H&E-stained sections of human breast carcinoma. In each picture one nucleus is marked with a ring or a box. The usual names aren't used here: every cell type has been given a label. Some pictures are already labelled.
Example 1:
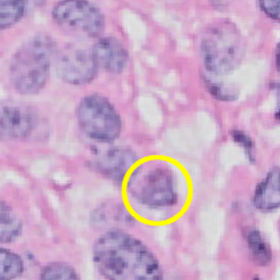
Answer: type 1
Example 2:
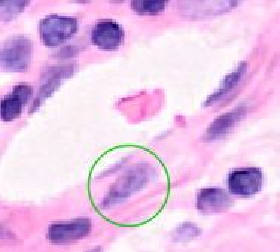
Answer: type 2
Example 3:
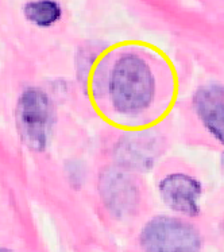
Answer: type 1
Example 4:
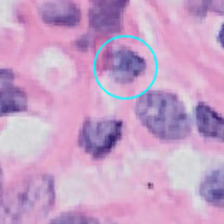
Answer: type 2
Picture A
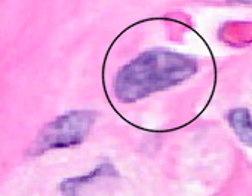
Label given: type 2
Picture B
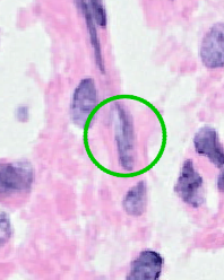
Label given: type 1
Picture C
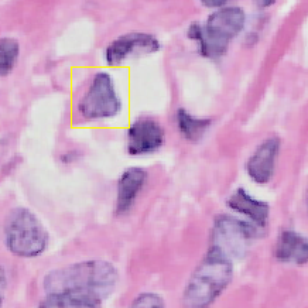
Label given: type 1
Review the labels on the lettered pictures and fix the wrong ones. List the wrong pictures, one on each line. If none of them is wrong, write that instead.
B: type 2, not type 1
